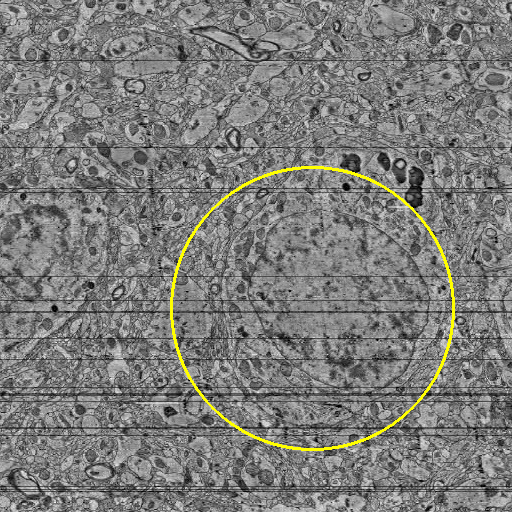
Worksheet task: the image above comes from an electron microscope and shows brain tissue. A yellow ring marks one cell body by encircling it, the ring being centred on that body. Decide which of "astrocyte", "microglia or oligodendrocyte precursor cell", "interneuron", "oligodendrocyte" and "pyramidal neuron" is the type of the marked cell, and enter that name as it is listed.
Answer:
interneuron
